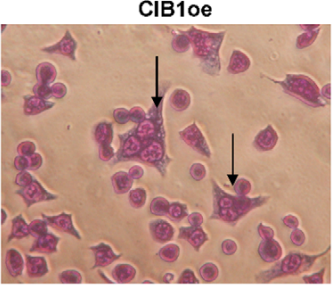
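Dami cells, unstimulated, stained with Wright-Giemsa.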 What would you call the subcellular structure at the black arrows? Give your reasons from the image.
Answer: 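The arrowed cells are larger than their neighbours. Each arrowed cell holds several rounded pink-purple nuclear lobes clustered together.
Conclusion: multilobated nuclei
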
